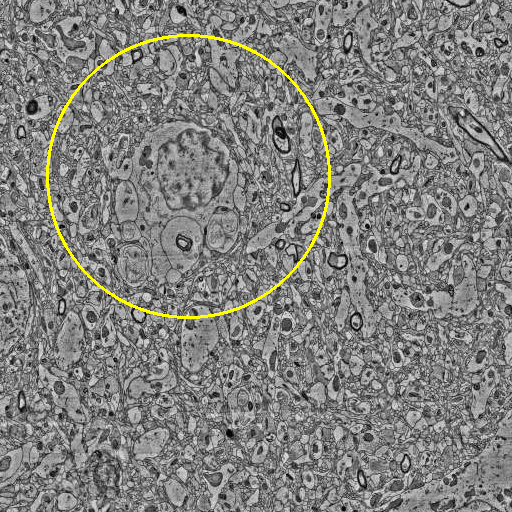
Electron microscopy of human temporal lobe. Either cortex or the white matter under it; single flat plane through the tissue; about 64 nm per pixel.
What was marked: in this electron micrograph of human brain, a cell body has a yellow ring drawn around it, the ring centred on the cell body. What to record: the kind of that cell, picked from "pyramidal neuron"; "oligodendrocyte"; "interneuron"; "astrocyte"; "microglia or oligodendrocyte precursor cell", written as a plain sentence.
The centred cell is an interneuron.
